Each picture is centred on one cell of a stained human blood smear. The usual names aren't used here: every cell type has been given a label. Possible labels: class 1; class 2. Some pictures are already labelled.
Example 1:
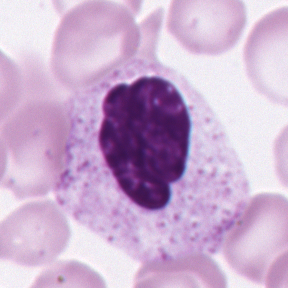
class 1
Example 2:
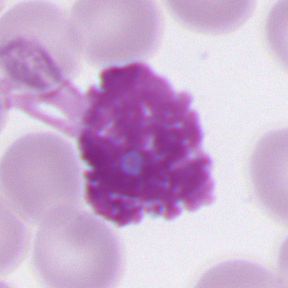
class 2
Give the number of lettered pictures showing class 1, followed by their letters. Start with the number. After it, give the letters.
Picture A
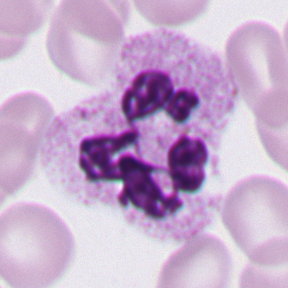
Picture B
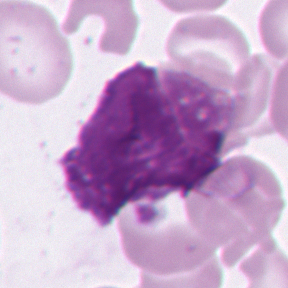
1, namely A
